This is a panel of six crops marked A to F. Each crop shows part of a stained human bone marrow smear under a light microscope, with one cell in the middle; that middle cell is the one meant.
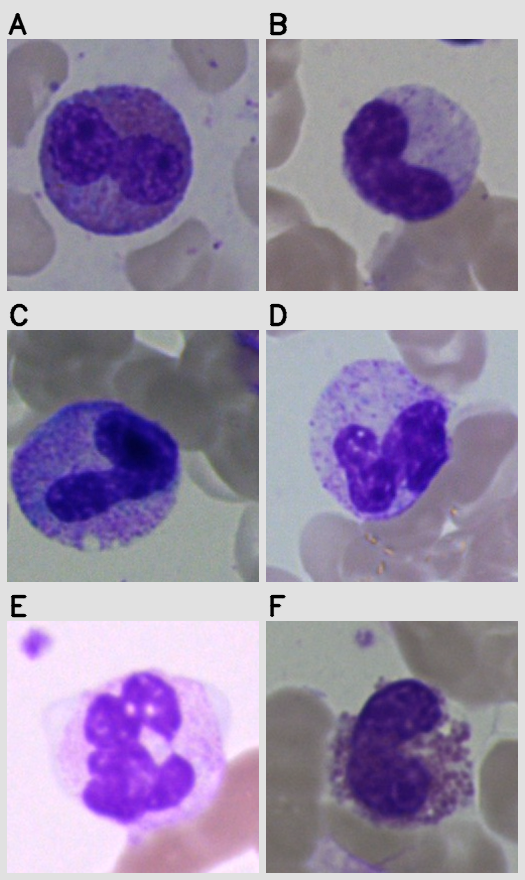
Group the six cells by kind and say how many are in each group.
eosinophil: 2
band neutrophil: 2
segmented neutrophil: 2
